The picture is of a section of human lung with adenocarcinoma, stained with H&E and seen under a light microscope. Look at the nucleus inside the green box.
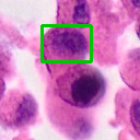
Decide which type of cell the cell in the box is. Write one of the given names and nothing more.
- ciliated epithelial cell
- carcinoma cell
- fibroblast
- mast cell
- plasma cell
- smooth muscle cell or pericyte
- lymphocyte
carcinoma cell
